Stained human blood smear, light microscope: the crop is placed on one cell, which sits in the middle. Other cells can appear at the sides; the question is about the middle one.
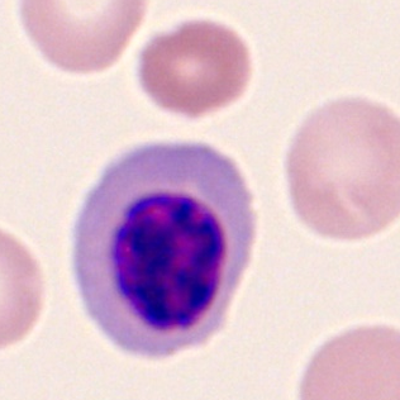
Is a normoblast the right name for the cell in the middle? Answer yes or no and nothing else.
yes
